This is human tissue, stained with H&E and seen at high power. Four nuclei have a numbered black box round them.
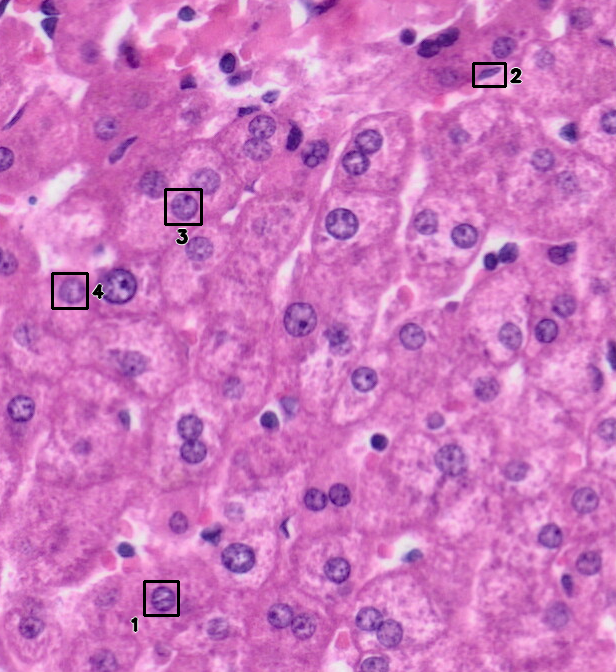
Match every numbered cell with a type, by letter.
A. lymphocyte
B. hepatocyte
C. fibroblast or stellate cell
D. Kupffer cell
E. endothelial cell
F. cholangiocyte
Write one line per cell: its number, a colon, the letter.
1: B
2: E
3: B
4: B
